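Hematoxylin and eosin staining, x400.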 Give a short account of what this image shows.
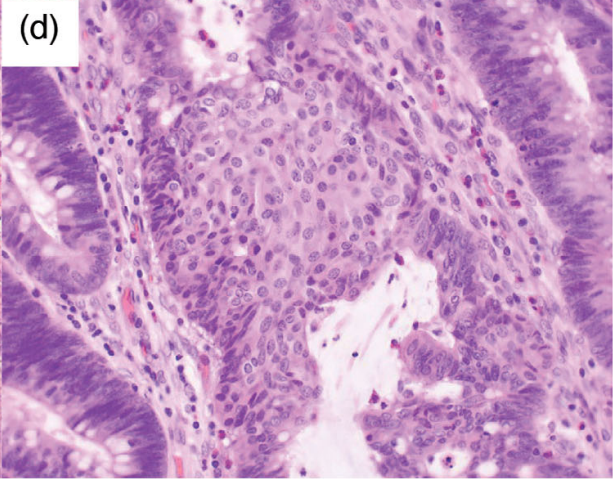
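A solid nest of cells lies between glands lined by tall columnar epithelium. The nest cells are round to short spindle-shaped, with oval, pale, vesicular nuclei, small nucleoli and moderate pale pink cytoplasm. They are packed without forming lumens. The flanking glands have elongated, crowded, dark, pseudostratified nuclei. Thin strands of stroma with small dark lymphocytes and scattered red-granular eosinophils separate the nest from the glands. A small pale mucoid space lies at the lower edge of the nest.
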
